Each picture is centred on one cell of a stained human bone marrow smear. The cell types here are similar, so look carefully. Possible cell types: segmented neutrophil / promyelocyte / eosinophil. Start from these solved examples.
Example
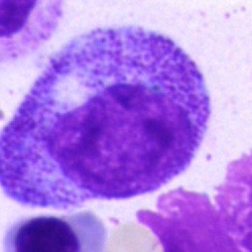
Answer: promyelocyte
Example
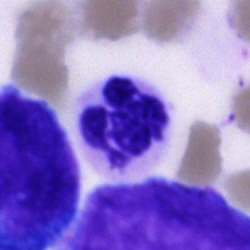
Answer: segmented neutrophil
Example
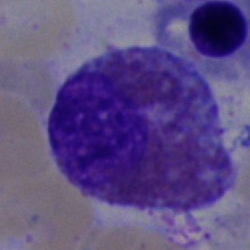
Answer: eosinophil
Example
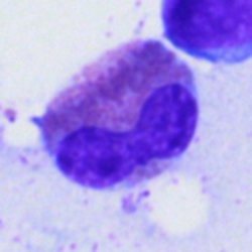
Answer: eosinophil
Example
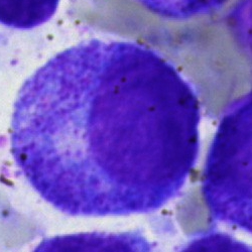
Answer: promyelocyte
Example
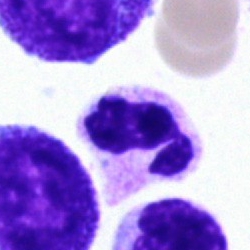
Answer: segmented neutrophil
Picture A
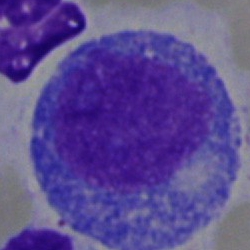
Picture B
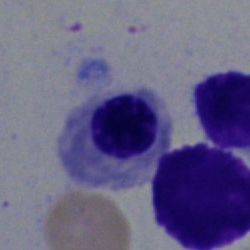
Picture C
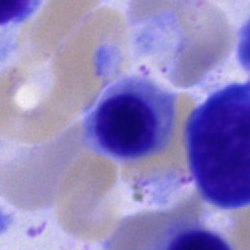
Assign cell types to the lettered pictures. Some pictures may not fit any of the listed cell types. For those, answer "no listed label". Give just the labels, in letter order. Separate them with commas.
promyelocyte, no listed label, no listed label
